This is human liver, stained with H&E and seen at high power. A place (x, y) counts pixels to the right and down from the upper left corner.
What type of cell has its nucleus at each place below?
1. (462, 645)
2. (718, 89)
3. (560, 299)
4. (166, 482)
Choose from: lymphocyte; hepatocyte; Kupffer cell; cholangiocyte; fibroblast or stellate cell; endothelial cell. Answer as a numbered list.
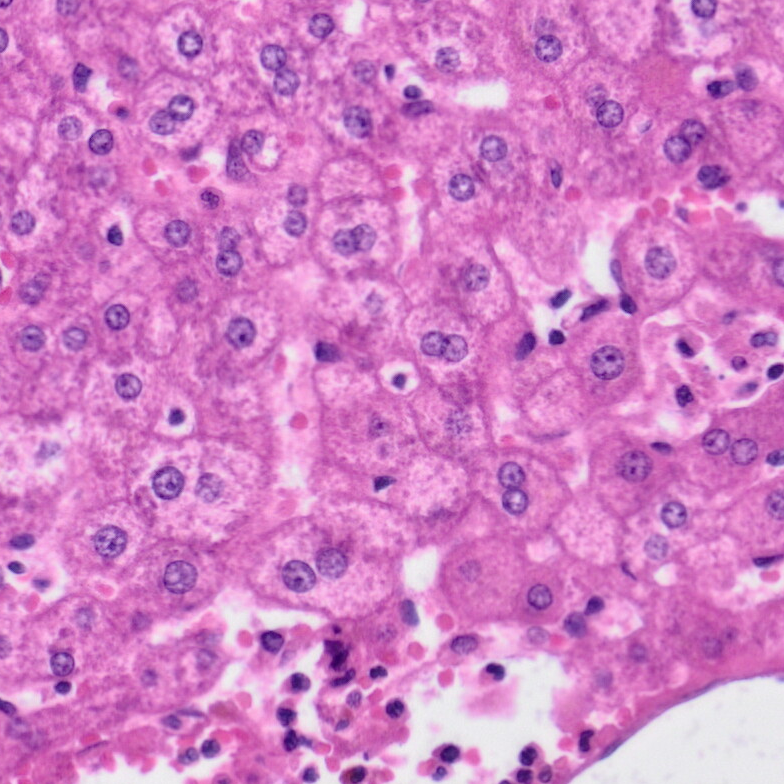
1. Kupffer cell
2. Kupffer cell
3. lymphocyte
4. hepatocyte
